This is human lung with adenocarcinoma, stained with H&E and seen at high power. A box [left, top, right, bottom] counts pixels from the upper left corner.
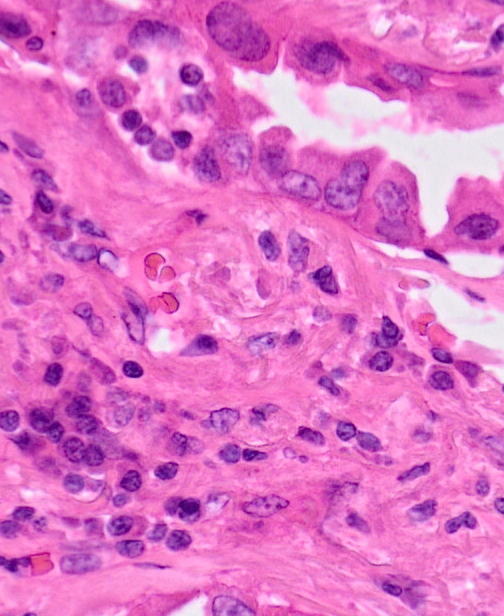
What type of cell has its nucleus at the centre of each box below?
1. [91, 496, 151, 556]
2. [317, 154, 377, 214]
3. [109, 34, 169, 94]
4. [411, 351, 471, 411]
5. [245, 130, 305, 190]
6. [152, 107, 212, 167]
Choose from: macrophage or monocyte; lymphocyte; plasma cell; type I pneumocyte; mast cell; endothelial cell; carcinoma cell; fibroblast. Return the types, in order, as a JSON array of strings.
["plasma cell", "carcinoma cell", "lymphocyte", "plasma cell", "carcinoma cell", "lymphocyte"]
